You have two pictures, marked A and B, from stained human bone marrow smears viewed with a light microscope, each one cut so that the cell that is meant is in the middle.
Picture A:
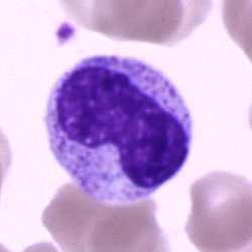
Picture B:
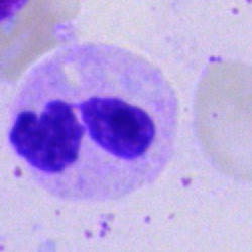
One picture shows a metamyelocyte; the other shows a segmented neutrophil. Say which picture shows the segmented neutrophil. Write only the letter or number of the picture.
B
